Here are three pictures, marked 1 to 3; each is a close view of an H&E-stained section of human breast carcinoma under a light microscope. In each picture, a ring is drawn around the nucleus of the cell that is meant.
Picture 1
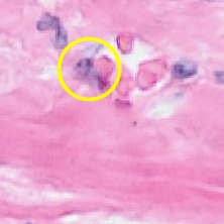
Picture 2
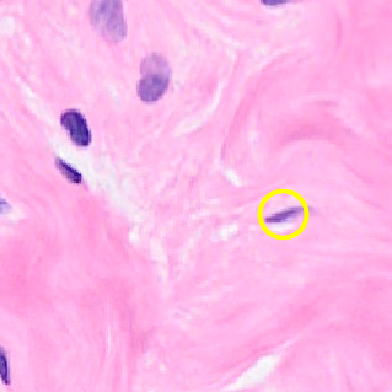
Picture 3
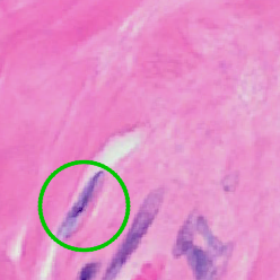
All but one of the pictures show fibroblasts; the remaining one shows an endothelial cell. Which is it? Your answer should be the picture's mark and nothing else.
1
